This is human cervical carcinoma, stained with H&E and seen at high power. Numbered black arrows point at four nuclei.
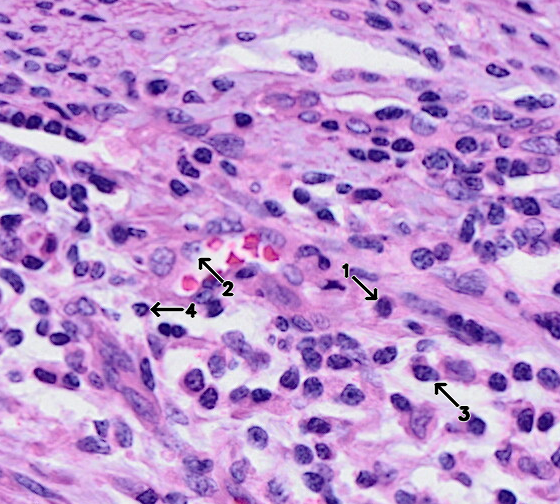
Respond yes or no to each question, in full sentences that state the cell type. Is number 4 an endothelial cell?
No, the cell with the number 4 is a lymphocyte, not an endothelial cell.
